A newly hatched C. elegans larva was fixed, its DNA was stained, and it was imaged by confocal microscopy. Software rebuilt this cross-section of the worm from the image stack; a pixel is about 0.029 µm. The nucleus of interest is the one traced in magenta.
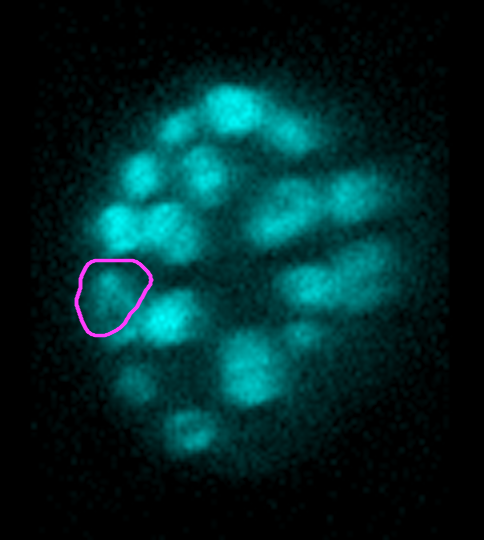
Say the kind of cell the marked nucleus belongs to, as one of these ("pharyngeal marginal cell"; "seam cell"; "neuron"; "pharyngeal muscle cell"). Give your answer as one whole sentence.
It is the nucleus of a seam cell.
